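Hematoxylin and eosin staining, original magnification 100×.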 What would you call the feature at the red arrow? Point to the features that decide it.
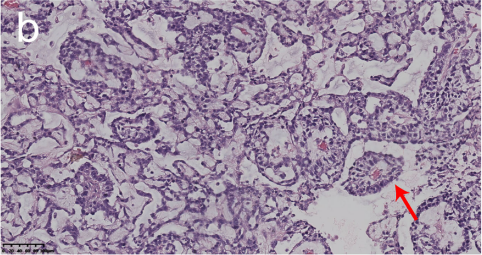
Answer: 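A rounded structure with a central vessel holding red blood cells, rimmed by a layer of tumor cells. It lies within a clear space in a loose, reticular tumor background. So: Schiller-Duval bodies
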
